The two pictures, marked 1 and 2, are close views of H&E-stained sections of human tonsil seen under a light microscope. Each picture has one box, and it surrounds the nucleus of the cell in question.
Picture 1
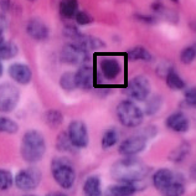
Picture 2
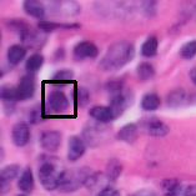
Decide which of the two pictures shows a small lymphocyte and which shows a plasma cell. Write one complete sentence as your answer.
In picture 1 the cell is a plasma cell; in picture 2, a small lymphocyte.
